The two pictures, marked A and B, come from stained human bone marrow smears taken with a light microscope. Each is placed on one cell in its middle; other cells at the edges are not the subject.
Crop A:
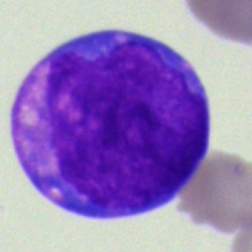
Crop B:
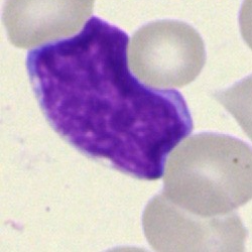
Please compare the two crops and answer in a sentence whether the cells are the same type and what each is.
Yes, the cells that the two crops centre on are blasts.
